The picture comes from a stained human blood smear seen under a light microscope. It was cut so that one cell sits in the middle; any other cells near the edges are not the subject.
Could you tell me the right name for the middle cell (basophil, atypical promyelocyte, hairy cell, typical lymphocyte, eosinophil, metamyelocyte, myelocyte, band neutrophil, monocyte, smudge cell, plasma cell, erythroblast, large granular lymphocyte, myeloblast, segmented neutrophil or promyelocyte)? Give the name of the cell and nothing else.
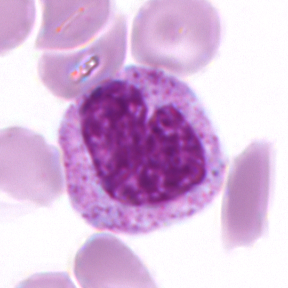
band neutrophil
